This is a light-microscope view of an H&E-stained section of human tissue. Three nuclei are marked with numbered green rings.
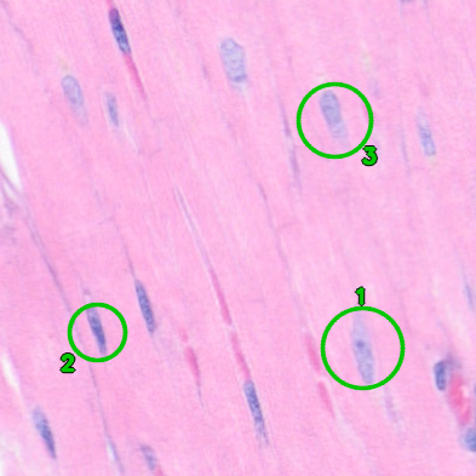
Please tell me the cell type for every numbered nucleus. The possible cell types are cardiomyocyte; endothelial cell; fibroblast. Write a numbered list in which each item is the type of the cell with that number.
1. cardiomyocyte
2. endothelial cell
3. cardiomyocyte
